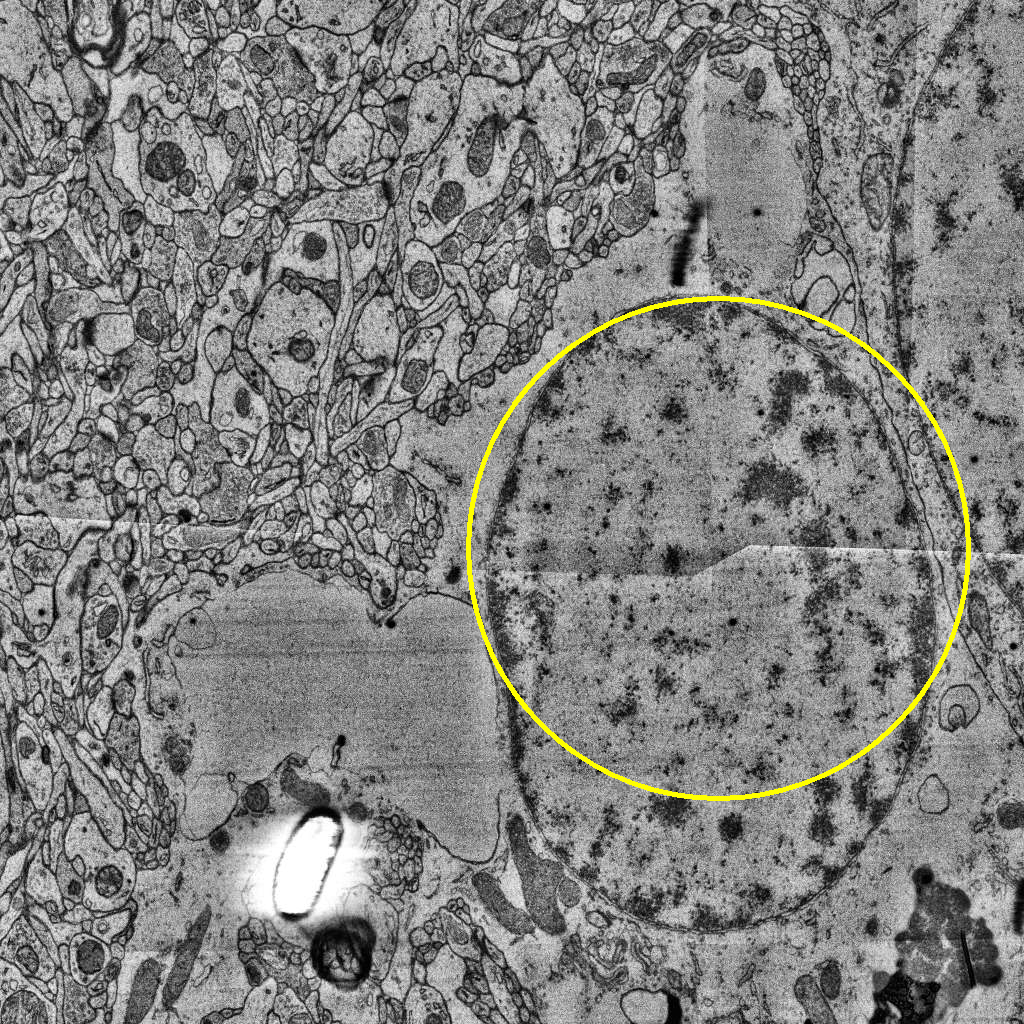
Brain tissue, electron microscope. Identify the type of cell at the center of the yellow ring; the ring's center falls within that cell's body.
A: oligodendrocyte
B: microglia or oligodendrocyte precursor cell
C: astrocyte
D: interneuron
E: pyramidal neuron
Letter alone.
C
